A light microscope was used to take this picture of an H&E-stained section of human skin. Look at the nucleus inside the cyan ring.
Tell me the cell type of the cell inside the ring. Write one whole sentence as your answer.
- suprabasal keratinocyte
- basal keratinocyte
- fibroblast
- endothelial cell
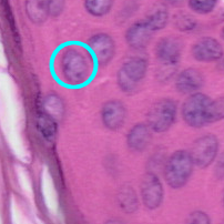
By cell type, the cell inside the ring is a suprabasal keratinocyte.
